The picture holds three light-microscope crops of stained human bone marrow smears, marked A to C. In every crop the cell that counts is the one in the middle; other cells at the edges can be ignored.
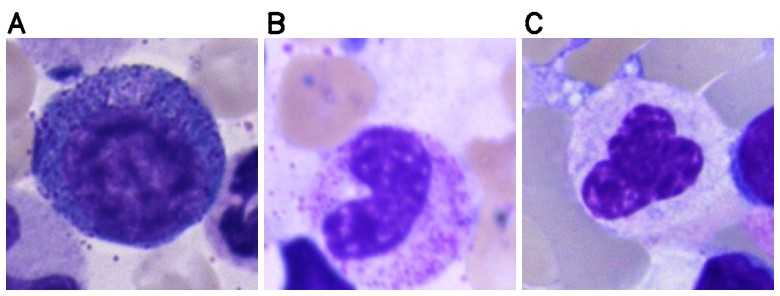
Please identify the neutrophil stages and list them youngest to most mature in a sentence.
Starting from the least mature, the sequence proceeds crop A (a promyelocyte), crop B (a band neutrophil) and crop C (a segmented neutrophil).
